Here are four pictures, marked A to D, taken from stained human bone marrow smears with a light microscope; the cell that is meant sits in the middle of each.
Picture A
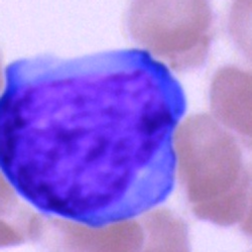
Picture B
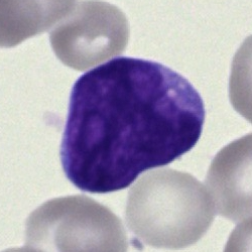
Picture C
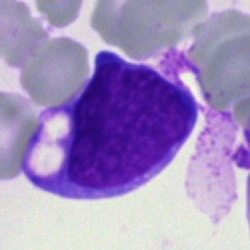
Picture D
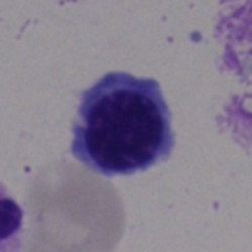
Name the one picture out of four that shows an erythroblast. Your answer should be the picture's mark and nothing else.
D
